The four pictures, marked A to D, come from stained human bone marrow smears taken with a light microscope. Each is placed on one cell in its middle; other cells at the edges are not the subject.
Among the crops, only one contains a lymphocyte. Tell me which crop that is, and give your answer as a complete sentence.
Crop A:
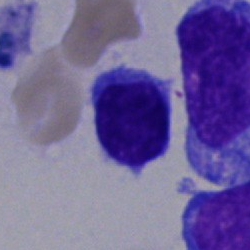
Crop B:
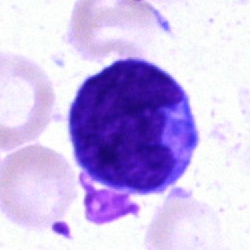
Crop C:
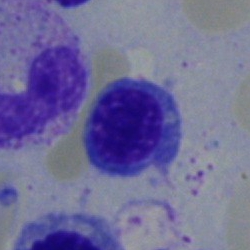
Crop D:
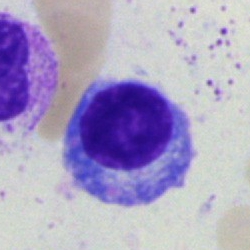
Of the crops shown, crop A depicts a lymphocyte.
